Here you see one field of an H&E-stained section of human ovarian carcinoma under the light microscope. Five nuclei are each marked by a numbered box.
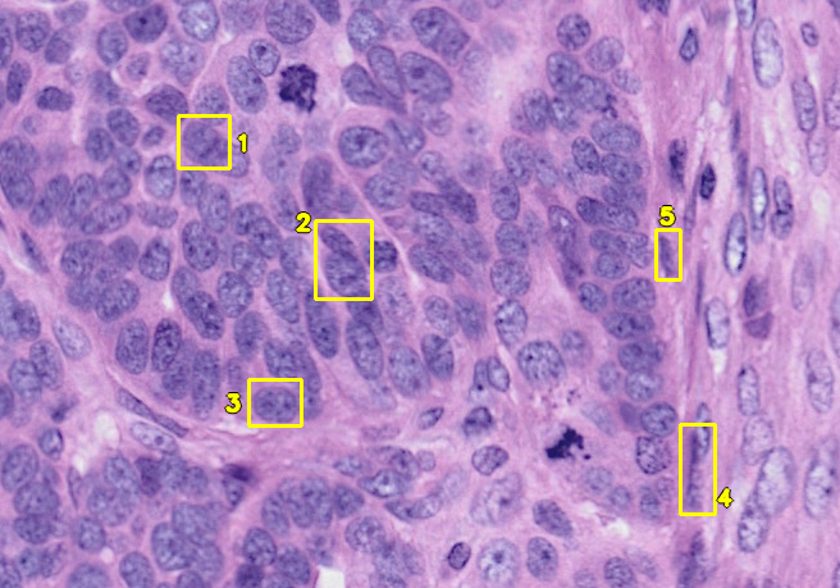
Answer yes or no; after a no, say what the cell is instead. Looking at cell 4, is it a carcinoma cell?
No, it is a fibroblast.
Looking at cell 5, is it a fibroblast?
Yes.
